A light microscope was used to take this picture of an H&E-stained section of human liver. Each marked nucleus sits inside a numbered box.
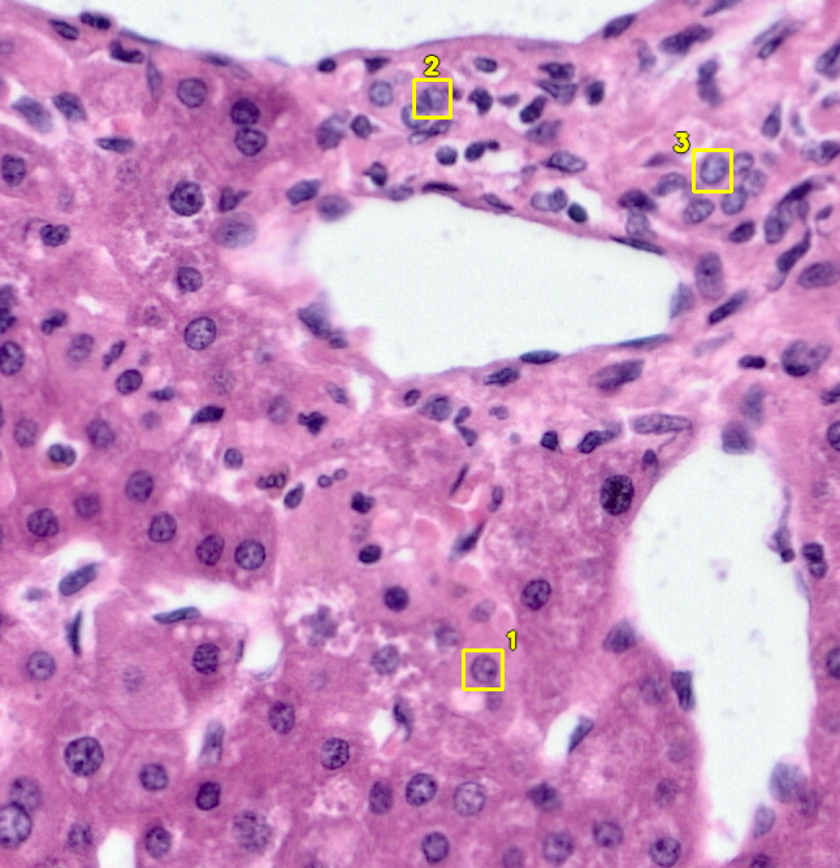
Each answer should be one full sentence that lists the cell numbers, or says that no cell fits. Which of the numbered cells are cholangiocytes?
Cells 2 and 3 are cholangiocytes by cell type.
